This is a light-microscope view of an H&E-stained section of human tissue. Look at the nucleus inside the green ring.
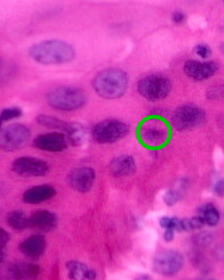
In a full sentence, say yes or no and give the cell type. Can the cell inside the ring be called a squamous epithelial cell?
Yes, in short, the cell inside the ring is a squamous epithelial cell here.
